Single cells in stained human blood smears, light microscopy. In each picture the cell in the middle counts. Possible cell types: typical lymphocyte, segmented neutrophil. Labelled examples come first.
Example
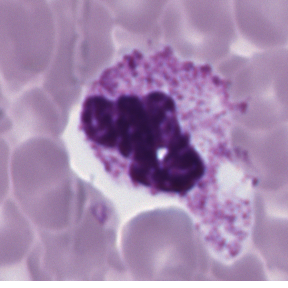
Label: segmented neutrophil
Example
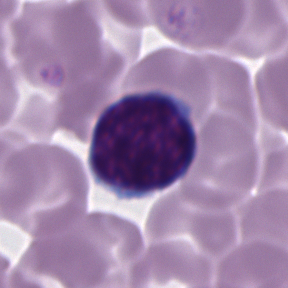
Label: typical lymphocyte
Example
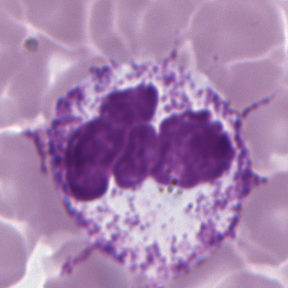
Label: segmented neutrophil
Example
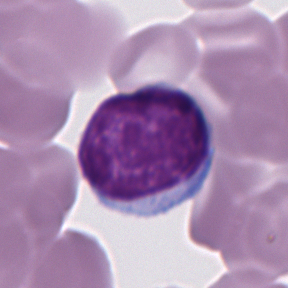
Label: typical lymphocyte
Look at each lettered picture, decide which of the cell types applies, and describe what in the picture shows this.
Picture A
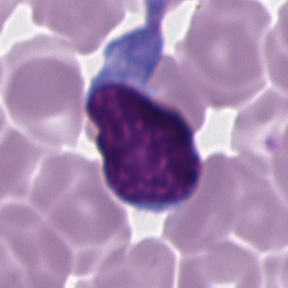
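typical lymphocyte. Evidence: The cytoplasm is stained blue.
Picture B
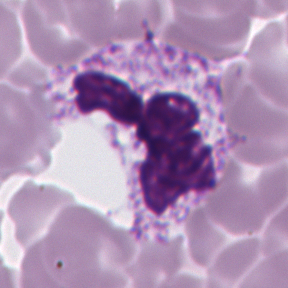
segmented neutrophil. Evidence: Between the granules the cytoplasm is pale and nearly colourless.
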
